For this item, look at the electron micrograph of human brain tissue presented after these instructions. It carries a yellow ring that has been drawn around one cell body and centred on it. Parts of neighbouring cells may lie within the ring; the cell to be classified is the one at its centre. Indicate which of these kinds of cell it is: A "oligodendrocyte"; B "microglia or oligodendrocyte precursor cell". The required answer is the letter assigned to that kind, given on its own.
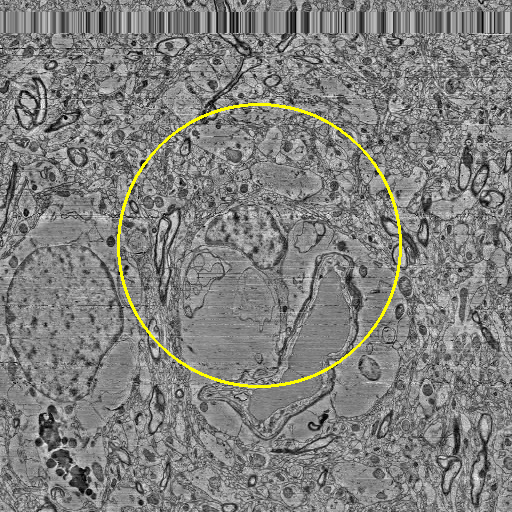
B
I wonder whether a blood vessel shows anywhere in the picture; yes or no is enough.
Yes, a vessel appears in the picture.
